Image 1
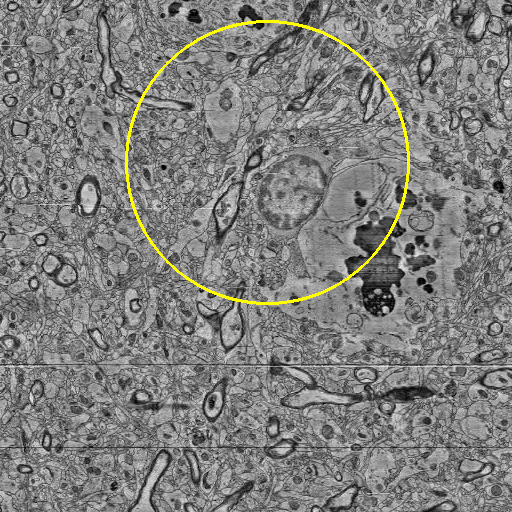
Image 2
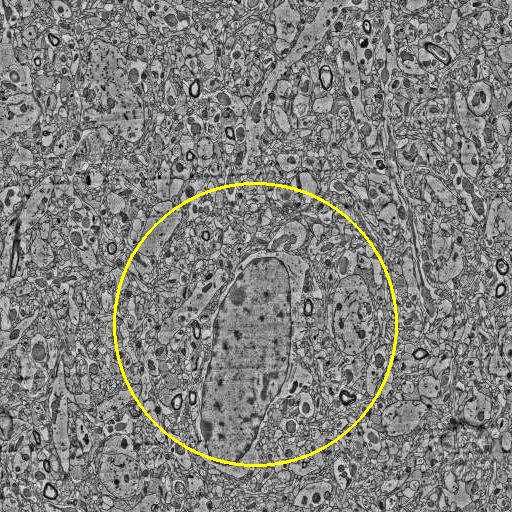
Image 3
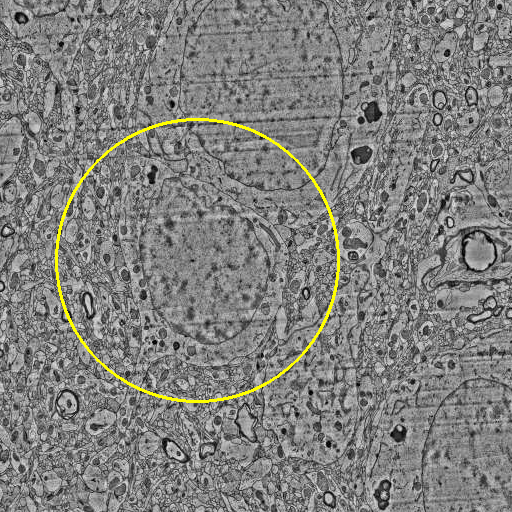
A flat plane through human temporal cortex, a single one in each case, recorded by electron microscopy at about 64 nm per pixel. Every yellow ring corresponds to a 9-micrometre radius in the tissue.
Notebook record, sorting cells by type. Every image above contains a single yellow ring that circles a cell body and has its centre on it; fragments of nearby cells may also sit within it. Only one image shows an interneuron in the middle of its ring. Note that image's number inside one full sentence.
For image 3, the cell in the middle of its yellow ring is the match.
